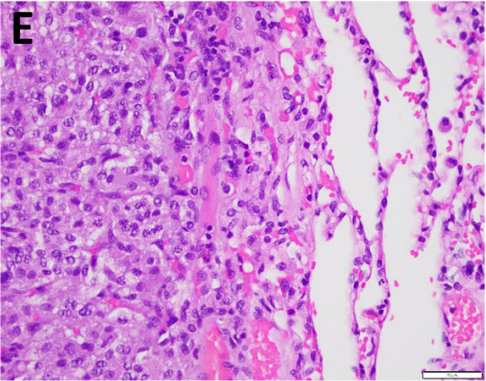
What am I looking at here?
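Lung with a tumor deposit: sheets and nests of tumor cells with pale pink to clear cytoplasm and round to oval nuclei fill the left side. A band of pink fibrous tissue with scattered small cells separates the tumor from the lung. On the right lie normal alveoli with thin walls lined by flattened cells around empty air spaces.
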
